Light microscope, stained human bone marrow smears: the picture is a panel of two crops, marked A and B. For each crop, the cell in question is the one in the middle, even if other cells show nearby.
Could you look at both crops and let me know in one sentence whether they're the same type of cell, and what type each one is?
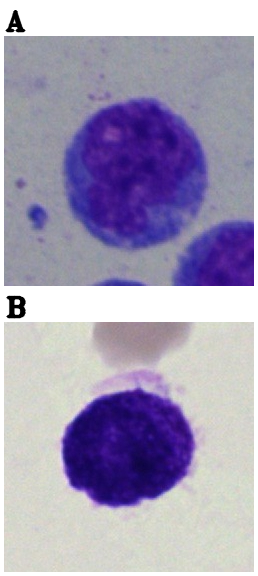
Yes, the cells at the centre of both crops are blasts.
